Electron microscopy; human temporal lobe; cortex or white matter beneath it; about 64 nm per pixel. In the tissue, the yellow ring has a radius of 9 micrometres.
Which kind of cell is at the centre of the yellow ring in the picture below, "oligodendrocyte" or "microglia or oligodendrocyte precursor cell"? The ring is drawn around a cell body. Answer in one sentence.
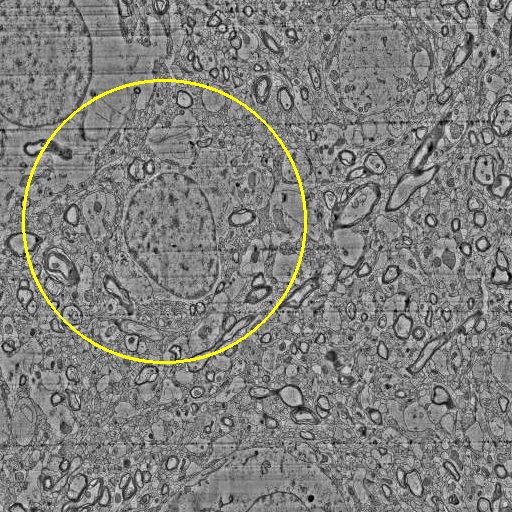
The ring's central cell is a microglial cell or oligodendrocyte precursor cell.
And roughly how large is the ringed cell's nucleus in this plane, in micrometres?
The nucleus of the ringed cell is approximately 8 by 6 micrometres in this plane.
